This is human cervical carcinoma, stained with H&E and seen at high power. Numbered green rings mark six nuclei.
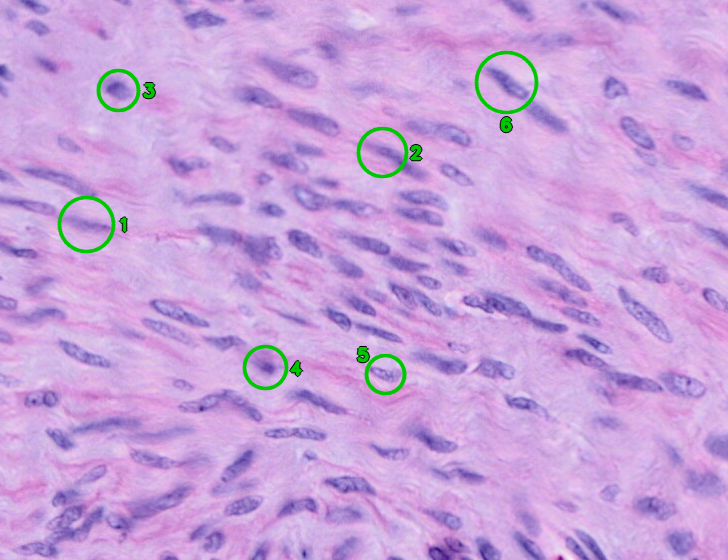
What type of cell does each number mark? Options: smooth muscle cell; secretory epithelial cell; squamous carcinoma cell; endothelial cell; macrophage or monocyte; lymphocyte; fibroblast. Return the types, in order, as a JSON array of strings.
["smooth muscle cell", "smooth muscle cell", "fibroblast", "smooth muscle cell", "smooth muscle cell", "fibroblast"]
